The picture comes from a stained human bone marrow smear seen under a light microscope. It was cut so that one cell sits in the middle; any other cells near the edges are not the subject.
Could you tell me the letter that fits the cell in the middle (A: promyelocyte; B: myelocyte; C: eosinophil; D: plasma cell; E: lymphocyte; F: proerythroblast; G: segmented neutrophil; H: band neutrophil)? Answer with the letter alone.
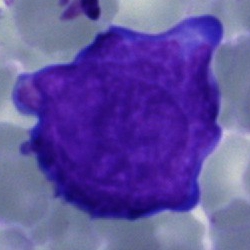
F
